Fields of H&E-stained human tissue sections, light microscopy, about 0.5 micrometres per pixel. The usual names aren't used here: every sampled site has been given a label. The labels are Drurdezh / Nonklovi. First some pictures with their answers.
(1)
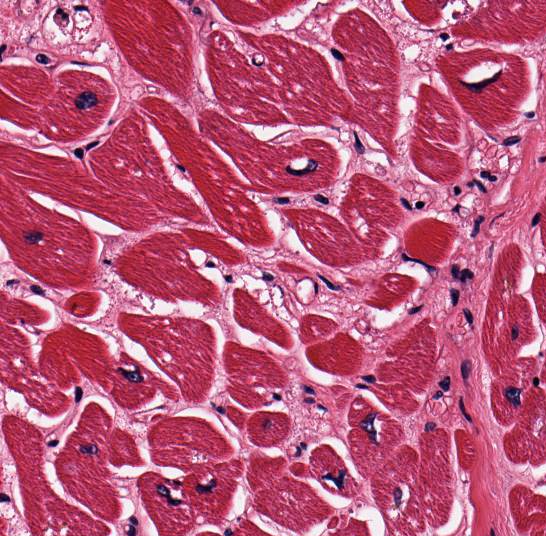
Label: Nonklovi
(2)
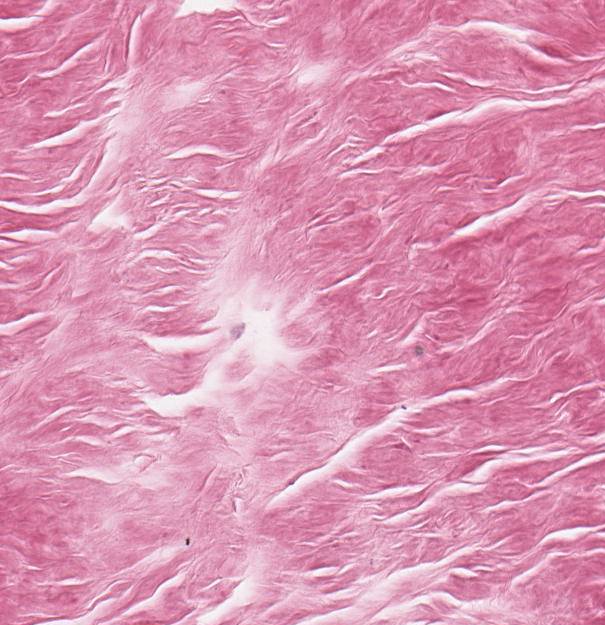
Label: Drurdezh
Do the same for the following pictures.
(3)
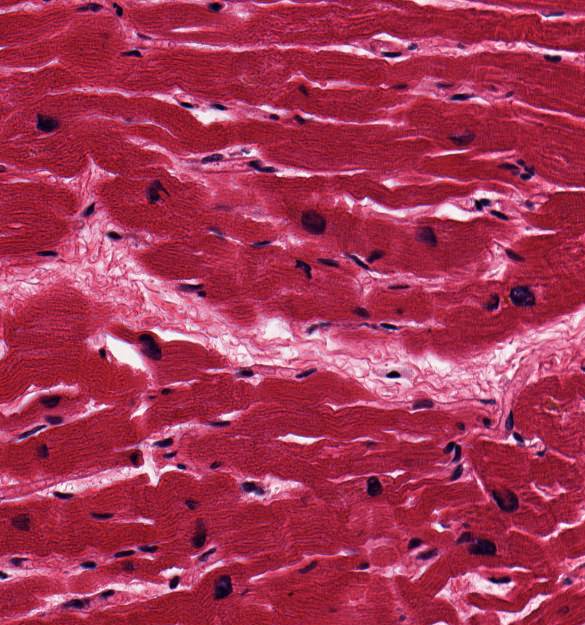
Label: Nonklovi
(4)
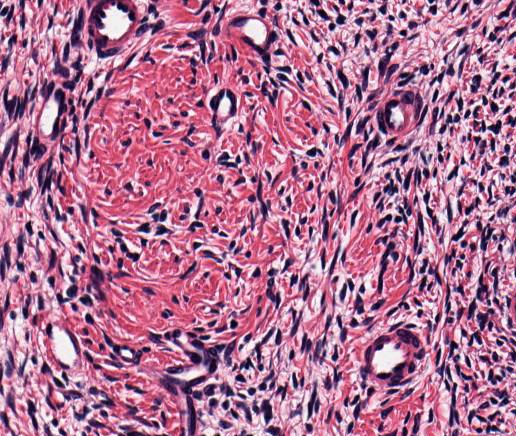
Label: Drurdezh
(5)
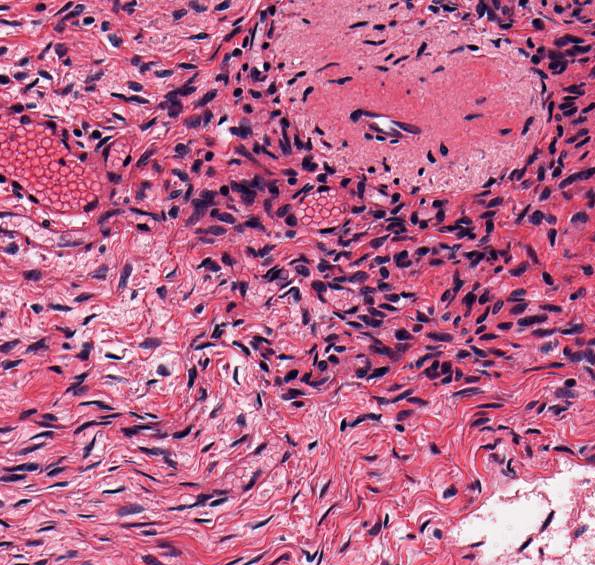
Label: Drurdezh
